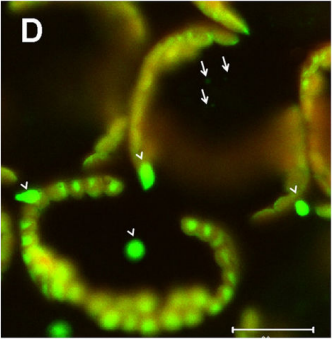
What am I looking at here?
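This is a close view of leaf mesophyll cells, each outlined by a ring of many small lens-shaped chloroplasts pressed against the cell periphery. The chloroplasts glow yellow-green where the red and green signals overlap, and they sit side by side like beads along the cell wall. Several bright, purely green rounded bodies stand out, one lying free in the cell centre and others at the edges of the chloroplast chains. A few tiny faint green dots are also scattered in the cell interior.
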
